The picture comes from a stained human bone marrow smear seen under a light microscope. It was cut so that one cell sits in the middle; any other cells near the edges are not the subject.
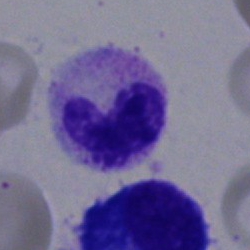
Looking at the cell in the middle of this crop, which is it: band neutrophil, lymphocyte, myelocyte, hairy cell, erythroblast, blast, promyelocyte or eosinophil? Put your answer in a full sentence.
This crop's central cell is a band neutrophil.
